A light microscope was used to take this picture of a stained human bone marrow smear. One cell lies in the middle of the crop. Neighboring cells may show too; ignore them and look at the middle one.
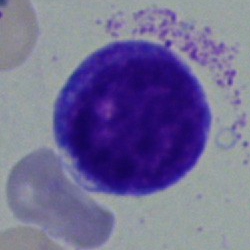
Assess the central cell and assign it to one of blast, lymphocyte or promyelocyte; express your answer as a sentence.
In the middle of this smear crop, the cell is a blast.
